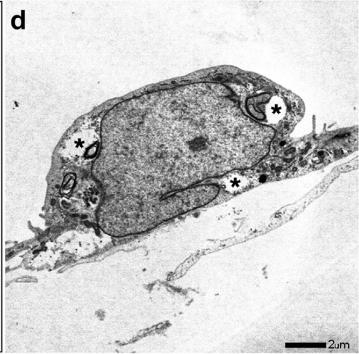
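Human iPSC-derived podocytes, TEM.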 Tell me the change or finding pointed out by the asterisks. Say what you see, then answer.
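Asterisks sit in clear, electron-lucent spaces in the cytoplasm.
Cytoplasmic vacuoles.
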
